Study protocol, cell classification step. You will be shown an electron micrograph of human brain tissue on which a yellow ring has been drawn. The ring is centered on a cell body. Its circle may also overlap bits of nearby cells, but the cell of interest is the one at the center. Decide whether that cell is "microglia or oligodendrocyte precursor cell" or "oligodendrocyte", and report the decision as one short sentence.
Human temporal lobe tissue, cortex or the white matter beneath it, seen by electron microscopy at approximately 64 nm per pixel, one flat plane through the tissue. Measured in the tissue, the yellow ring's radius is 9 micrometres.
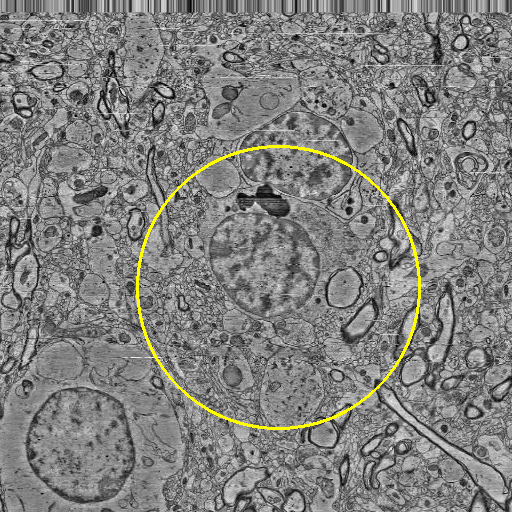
The marked cell is an oligodendrocyte.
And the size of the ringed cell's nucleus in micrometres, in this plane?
Roughly 8 micrometres by 7 micrometres, in this plane.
